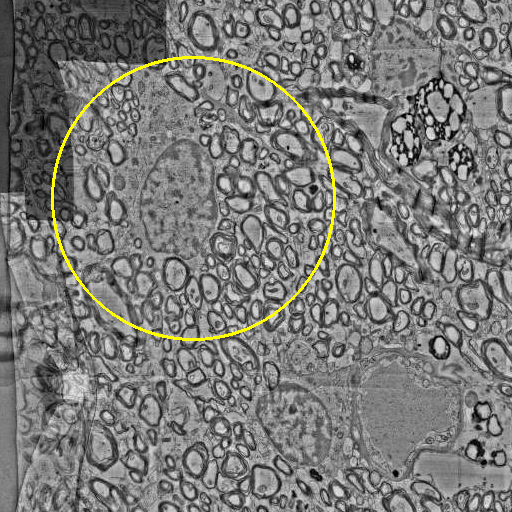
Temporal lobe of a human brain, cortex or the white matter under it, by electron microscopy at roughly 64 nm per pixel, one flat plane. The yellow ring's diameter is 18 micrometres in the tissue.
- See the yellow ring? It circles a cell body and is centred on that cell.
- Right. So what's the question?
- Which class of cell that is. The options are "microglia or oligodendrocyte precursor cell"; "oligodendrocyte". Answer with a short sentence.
The centre of the ring holds an oligodendrocyte.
